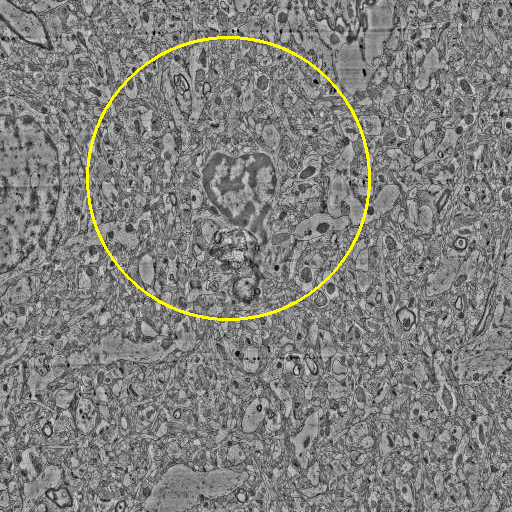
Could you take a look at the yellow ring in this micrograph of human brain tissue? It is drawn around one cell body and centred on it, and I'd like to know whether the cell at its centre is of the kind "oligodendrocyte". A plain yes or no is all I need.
no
